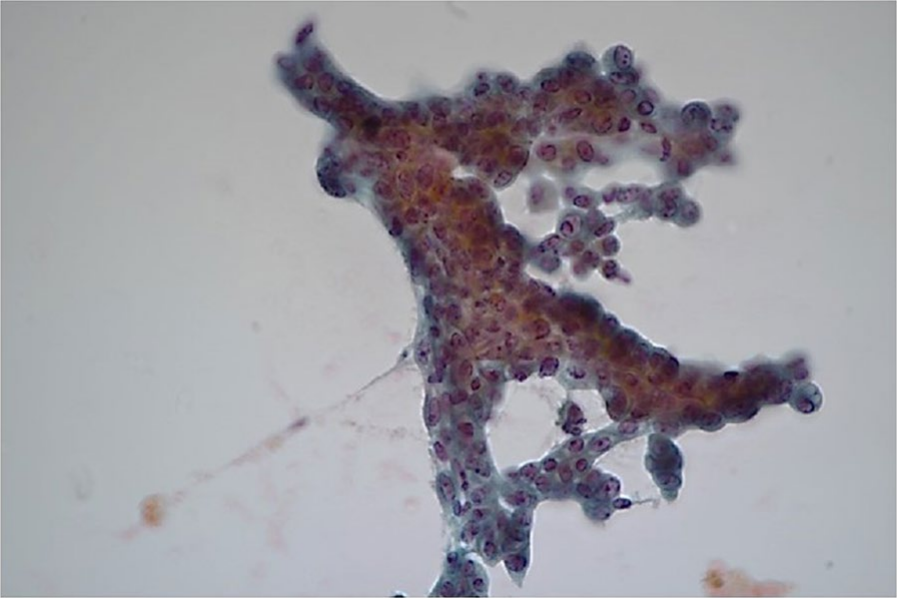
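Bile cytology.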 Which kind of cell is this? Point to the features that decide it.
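A large, crowded, branching cluster of cohesive cells. Nuclei overlap and vary in size. Nuclei are dark-stained and round to oval. On this evidence: adenocarcinoma cells.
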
